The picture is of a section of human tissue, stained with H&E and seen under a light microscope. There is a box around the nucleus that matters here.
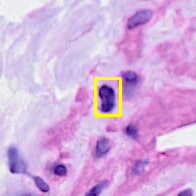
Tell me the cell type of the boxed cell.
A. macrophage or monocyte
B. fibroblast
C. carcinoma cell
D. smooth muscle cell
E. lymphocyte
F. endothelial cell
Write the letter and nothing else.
E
